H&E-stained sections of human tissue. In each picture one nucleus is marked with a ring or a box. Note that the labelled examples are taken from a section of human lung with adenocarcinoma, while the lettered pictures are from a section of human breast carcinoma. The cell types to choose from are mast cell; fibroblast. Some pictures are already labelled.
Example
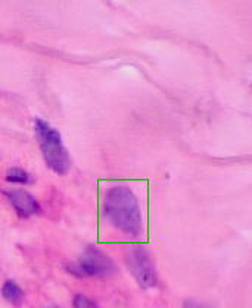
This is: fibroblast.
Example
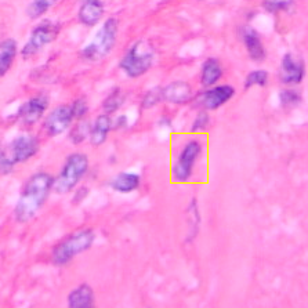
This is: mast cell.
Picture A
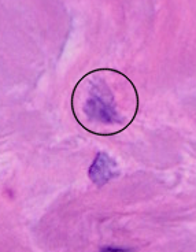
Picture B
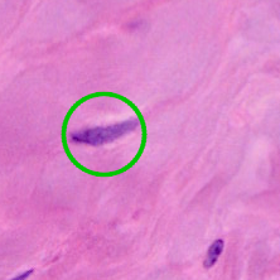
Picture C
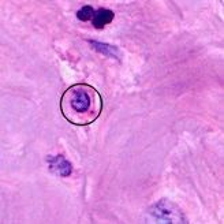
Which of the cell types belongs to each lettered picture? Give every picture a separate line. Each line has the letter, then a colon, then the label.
A: fibroblast.
B: fibroblast.
C: mast cell.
